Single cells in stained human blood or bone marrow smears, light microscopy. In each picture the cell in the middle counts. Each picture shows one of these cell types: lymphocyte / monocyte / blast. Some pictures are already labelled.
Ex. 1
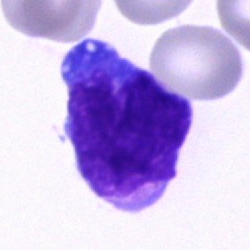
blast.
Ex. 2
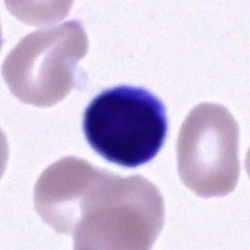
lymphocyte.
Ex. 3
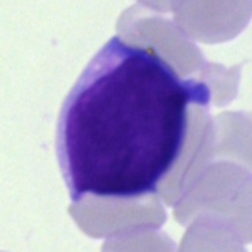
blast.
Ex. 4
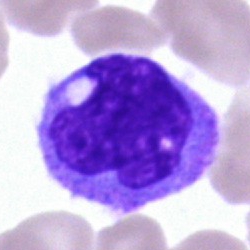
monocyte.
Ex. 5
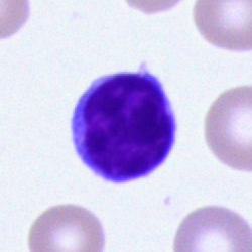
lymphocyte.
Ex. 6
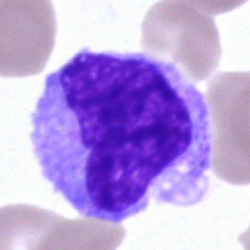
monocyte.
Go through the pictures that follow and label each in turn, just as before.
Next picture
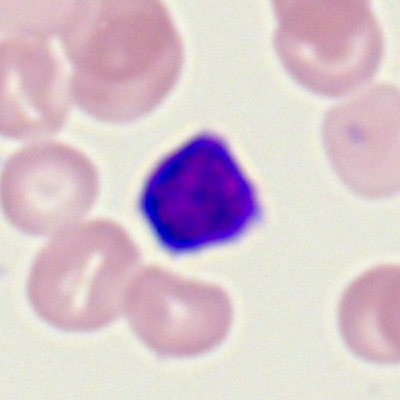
lymphocyte.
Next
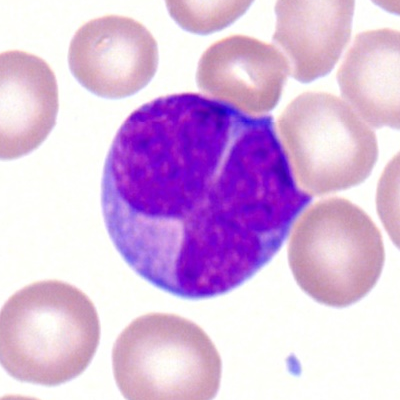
blast.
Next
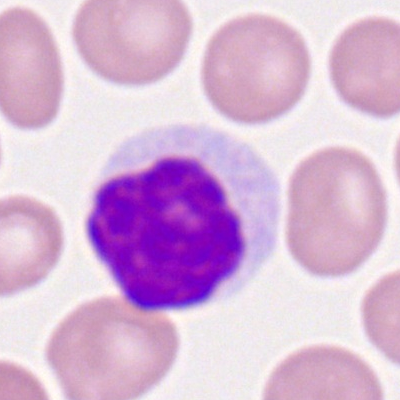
lymphocyte.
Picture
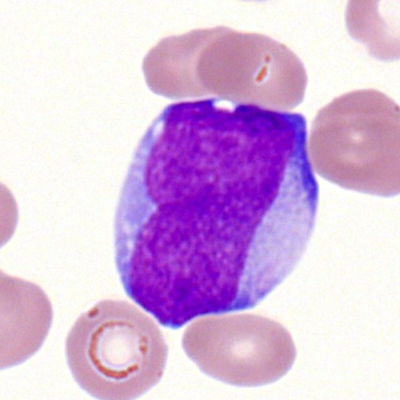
blast.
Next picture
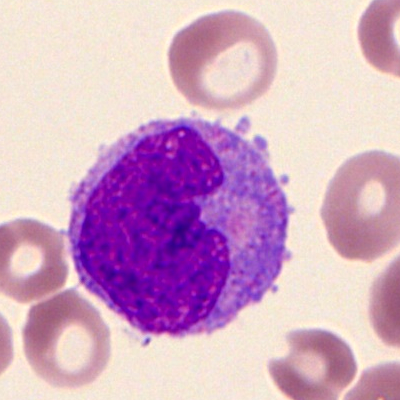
monocyte.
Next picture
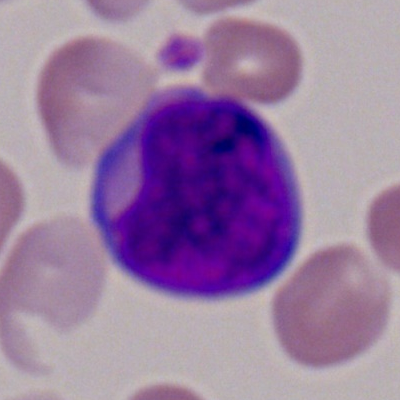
blast.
